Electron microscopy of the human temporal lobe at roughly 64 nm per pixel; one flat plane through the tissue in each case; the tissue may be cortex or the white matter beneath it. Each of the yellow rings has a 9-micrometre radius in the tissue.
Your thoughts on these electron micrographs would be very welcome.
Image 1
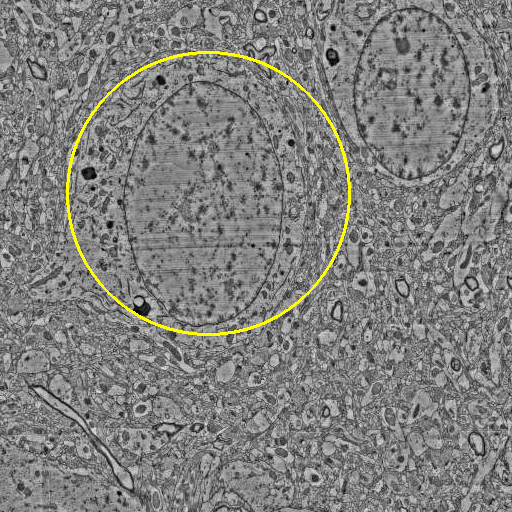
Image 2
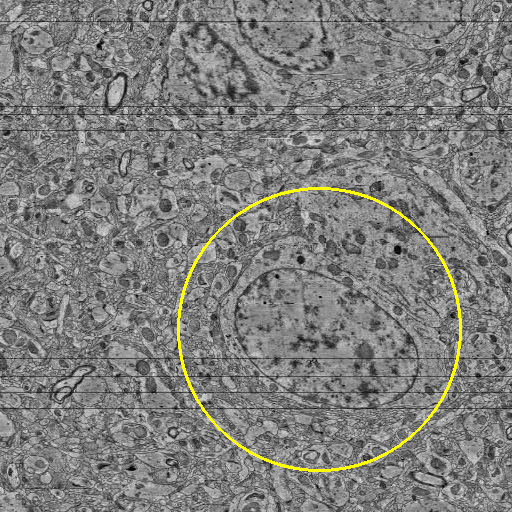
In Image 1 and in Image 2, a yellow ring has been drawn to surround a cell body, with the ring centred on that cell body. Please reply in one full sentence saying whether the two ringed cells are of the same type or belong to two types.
The ringed cells in Image 1 and Image 2 are of the same type.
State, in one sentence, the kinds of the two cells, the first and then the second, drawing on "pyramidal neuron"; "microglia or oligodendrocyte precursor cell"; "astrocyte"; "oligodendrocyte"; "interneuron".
In the first picture and in the second, the ring is centred on a pyramidal neuron.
